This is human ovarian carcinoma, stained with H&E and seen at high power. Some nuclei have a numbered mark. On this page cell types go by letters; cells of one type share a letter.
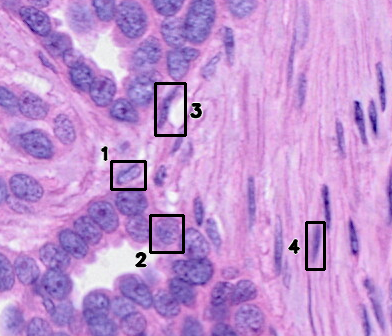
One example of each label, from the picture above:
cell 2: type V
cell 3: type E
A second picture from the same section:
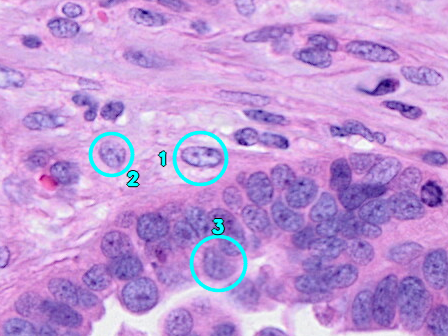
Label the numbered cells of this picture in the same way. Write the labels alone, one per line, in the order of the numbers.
type E
type E
type V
